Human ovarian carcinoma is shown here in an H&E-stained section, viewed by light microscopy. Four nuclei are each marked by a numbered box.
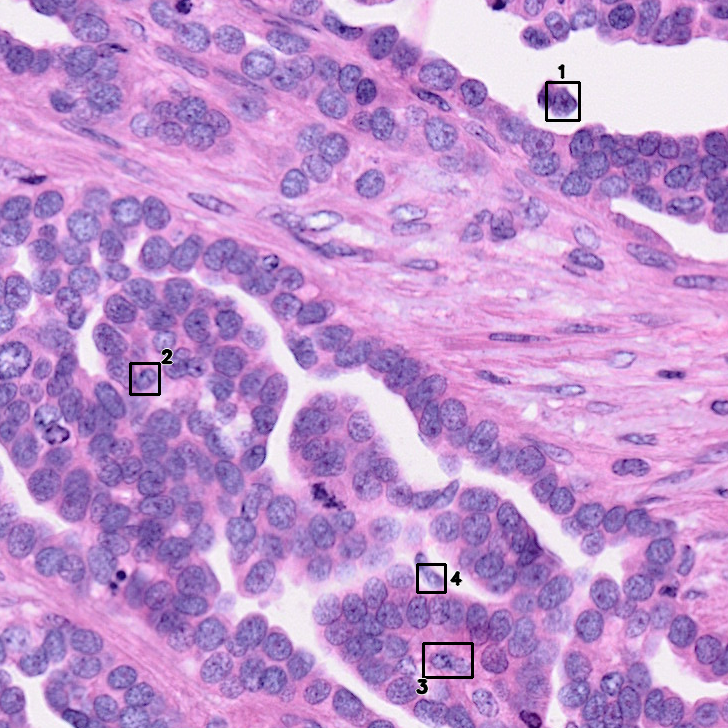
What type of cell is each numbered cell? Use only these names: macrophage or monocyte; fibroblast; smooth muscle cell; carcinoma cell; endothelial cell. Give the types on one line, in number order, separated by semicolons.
carcinoma cell; macrophage or monocyte; macrophage or monocyte; macrophage or monocyte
